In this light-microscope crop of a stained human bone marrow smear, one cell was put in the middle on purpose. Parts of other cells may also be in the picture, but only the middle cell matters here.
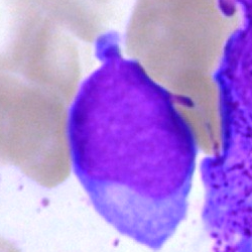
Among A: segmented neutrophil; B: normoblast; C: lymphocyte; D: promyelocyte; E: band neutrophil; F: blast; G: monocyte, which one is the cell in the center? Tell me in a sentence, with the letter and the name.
Answer key: option F, the middle cell being a blast.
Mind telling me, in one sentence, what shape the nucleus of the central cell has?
There is one compact nucleus, and its shape is round, oval or kidney-like.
